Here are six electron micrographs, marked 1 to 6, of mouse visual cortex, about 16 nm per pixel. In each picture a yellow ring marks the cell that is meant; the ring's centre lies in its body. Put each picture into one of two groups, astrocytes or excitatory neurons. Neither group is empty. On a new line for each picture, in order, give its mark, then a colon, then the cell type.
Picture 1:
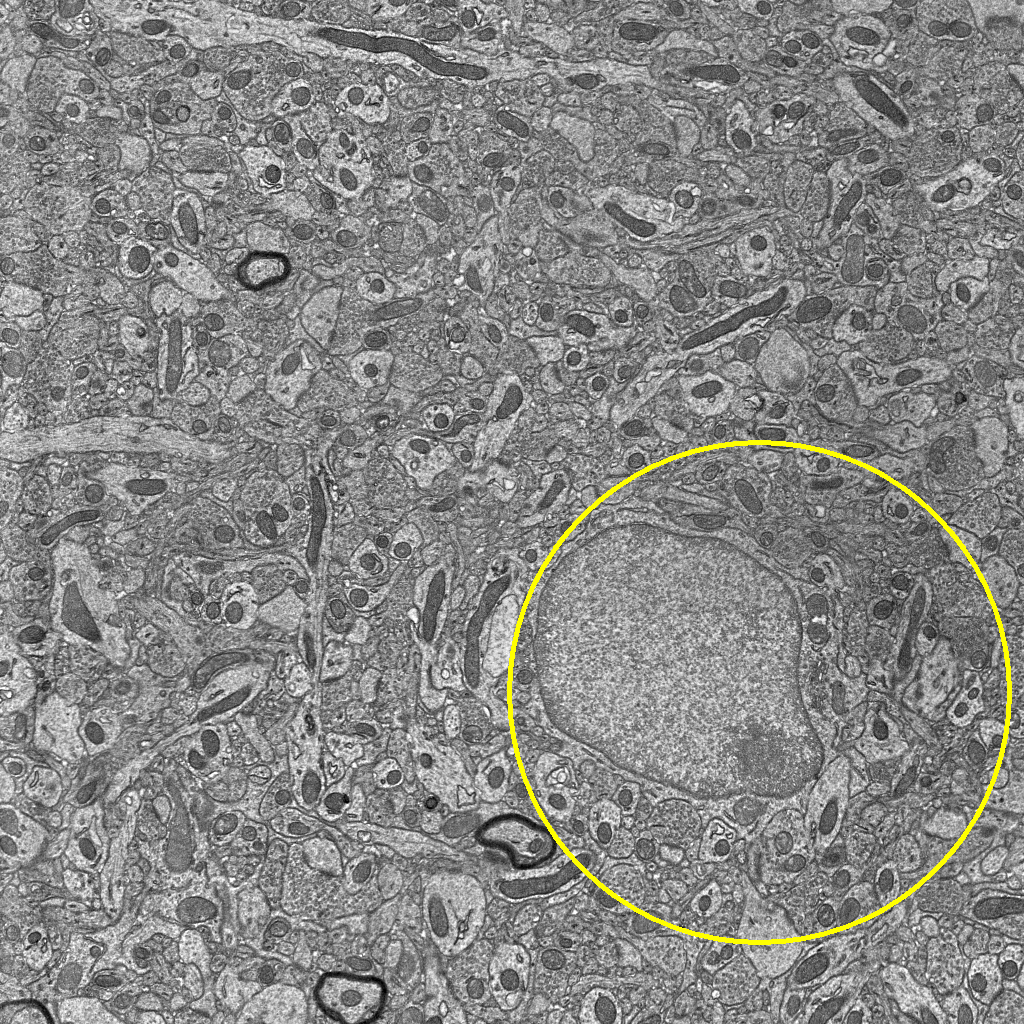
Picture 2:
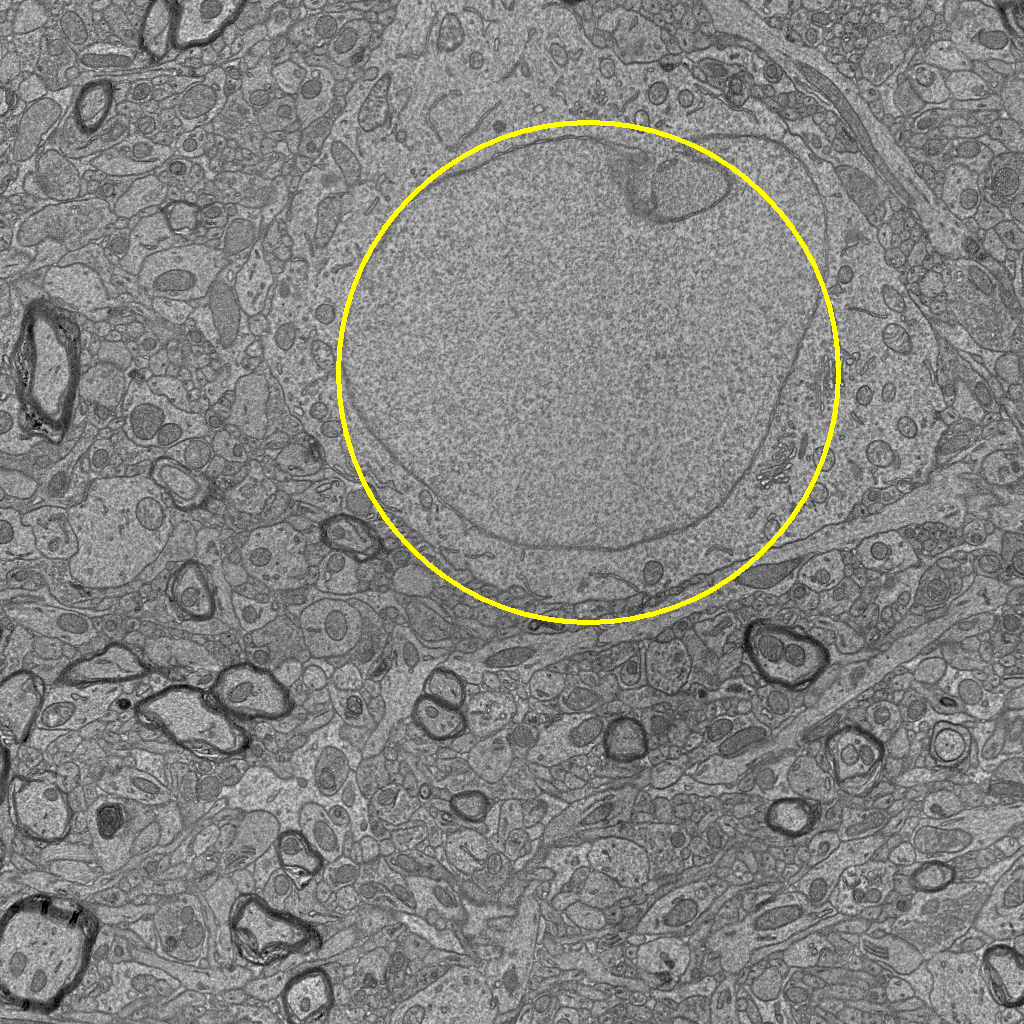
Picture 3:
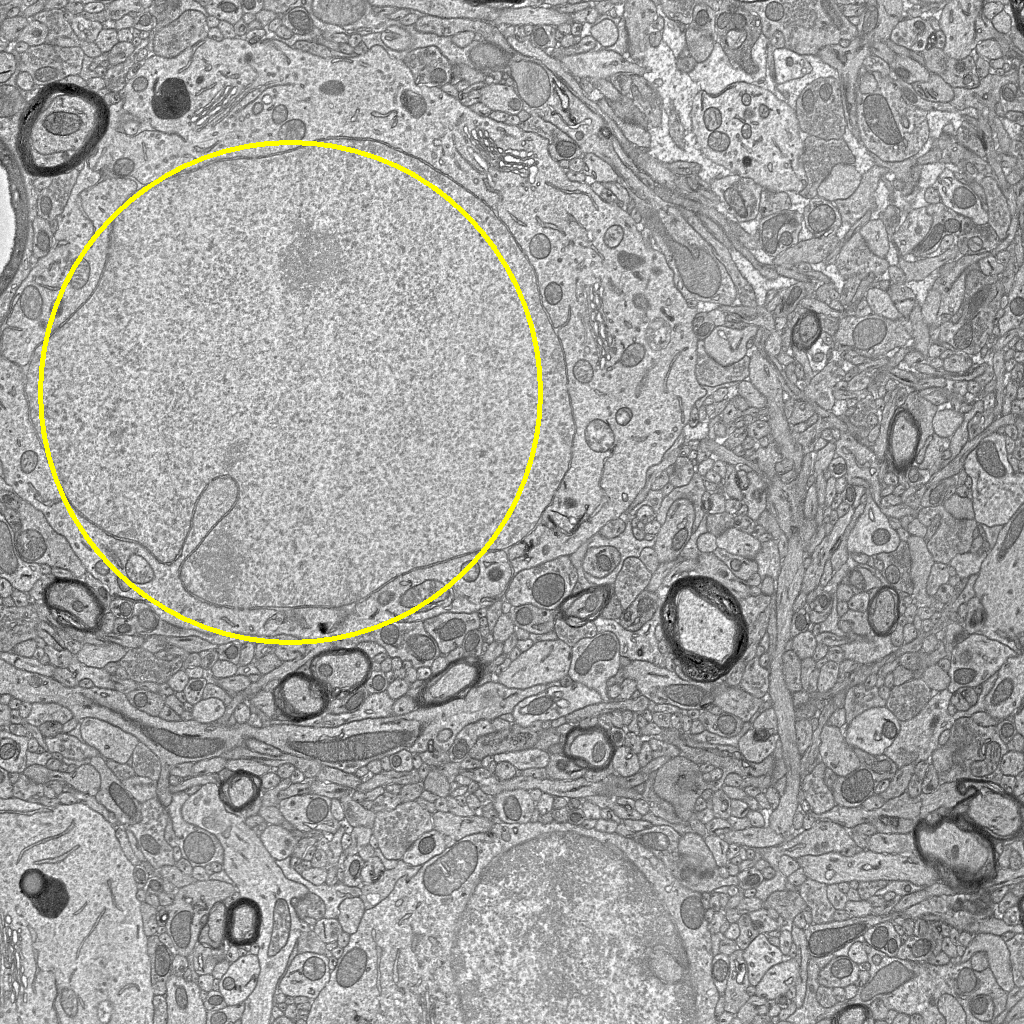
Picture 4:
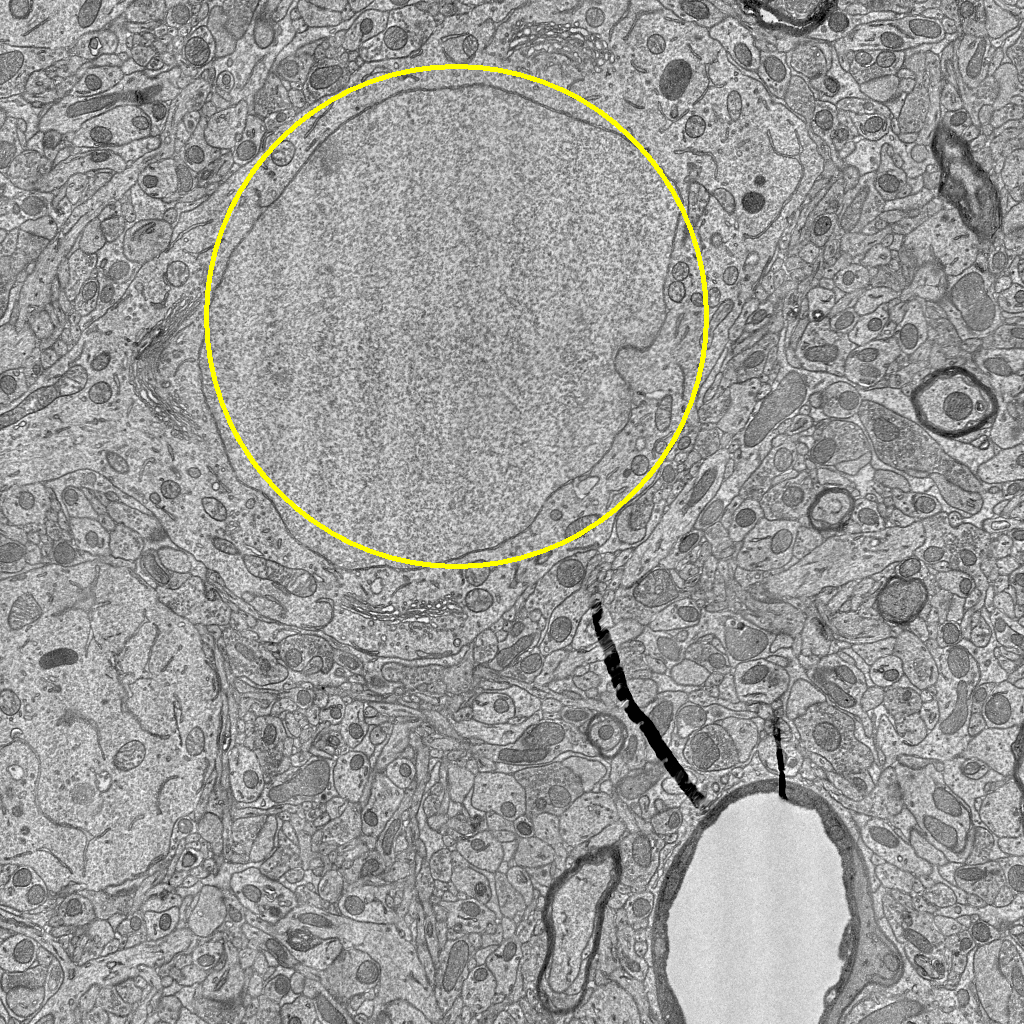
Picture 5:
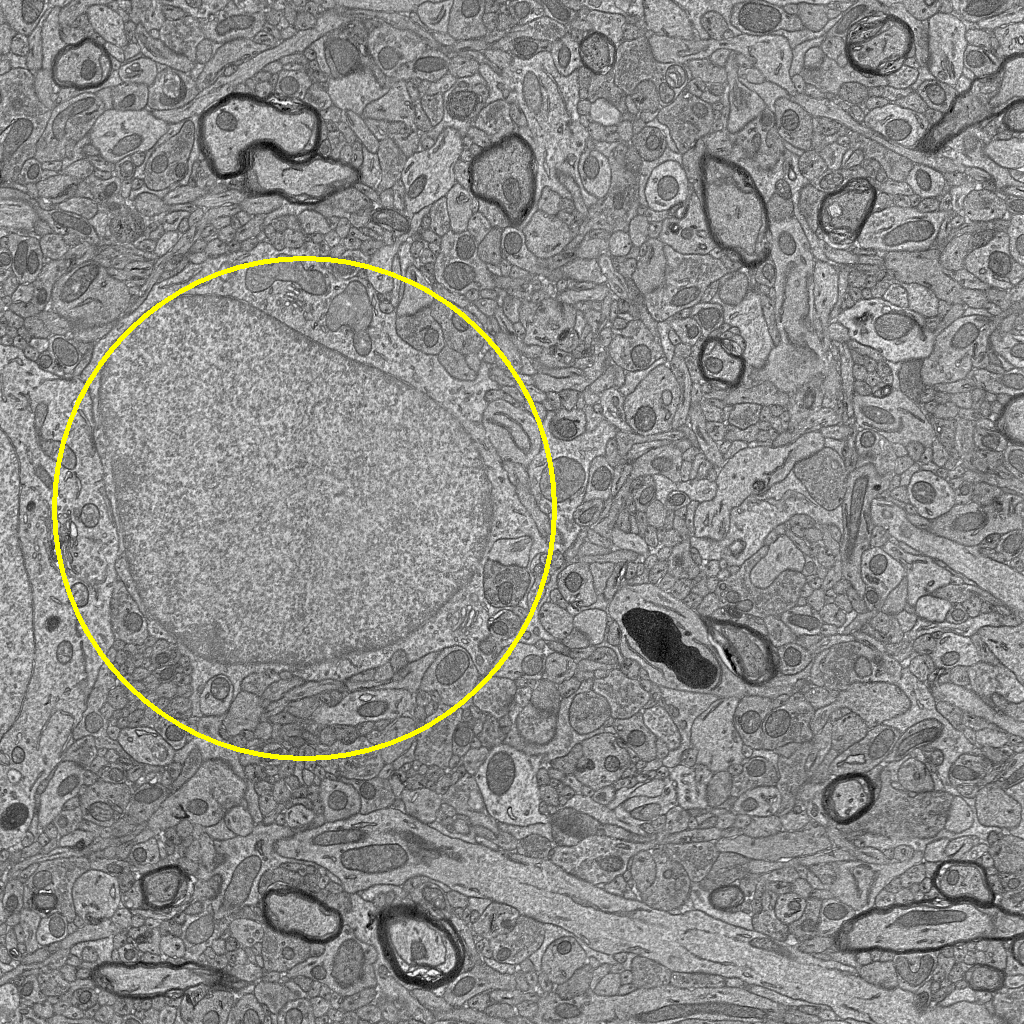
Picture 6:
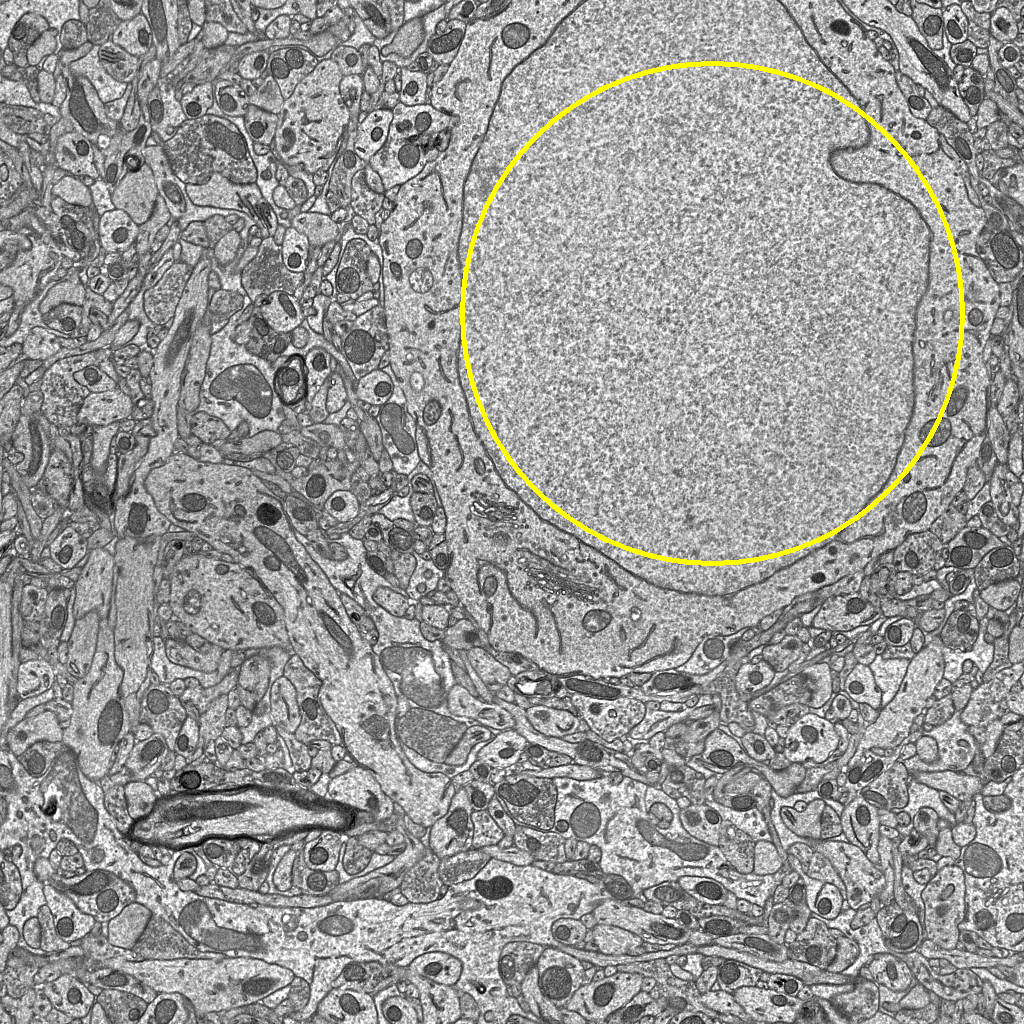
1: astrocyte
2: excitatory neuron
3: excitatory neuron
4: excitatory neuron
5: astrocyte
6: excitatory neuron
